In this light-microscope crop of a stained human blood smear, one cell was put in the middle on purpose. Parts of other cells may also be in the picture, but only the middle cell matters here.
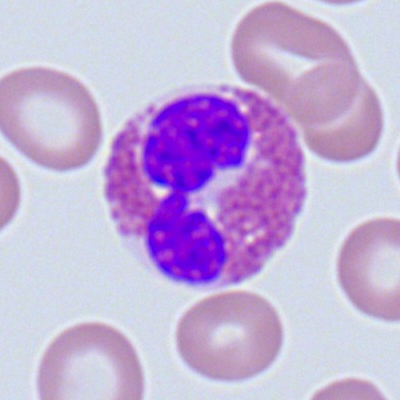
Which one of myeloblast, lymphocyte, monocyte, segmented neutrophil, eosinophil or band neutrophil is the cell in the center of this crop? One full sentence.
The crop centres on a single cell, and that cell is an eosinophil.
